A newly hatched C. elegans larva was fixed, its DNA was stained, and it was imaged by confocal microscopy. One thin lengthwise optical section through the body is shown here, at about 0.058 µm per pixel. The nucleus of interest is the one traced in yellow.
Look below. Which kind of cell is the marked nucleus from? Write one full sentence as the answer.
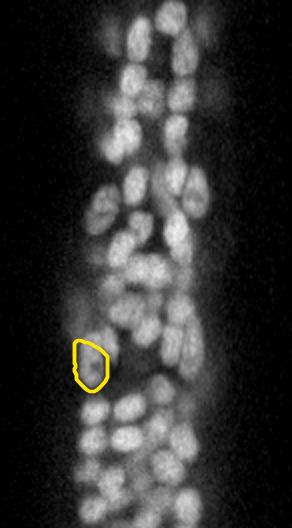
This is the nucleus of a body wall muscle cell.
